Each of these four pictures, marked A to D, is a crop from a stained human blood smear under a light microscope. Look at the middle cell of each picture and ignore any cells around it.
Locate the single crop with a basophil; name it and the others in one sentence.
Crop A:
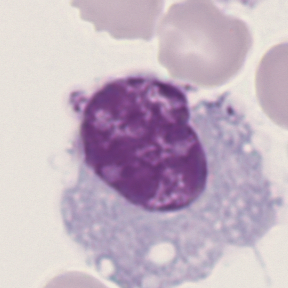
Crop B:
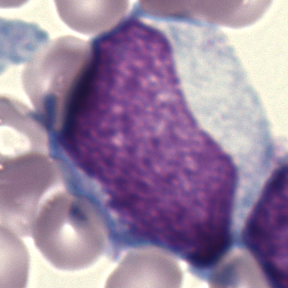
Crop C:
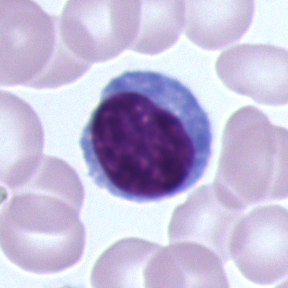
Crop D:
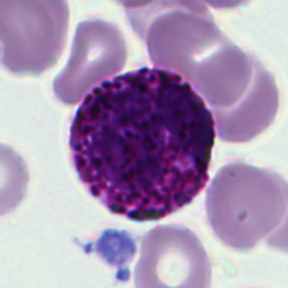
While crop A is a plasma cell, crop B is a promyelocyte and crop C is a lymphocyte, crop D shows a basophil.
